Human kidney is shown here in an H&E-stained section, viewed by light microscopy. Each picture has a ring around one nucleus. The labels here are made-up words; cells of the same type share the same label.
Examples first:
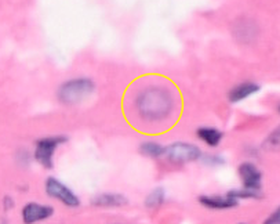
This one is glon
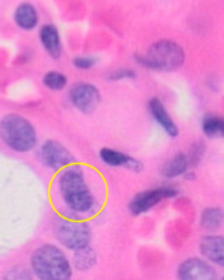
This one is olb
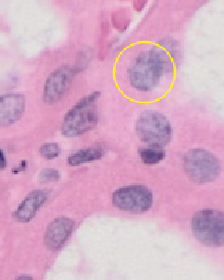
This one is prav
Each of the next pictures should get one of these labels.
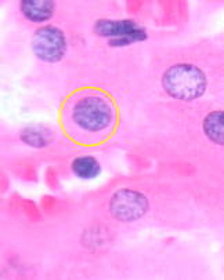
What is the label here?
prav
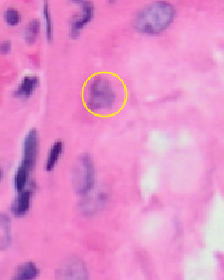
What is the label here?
glon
